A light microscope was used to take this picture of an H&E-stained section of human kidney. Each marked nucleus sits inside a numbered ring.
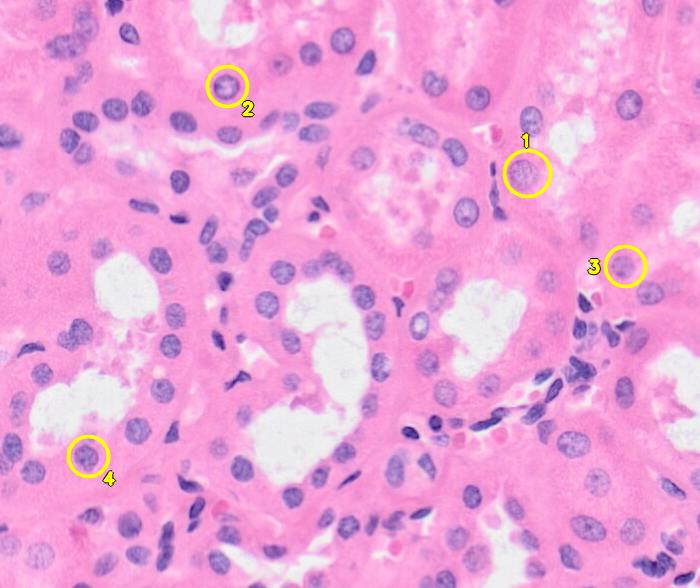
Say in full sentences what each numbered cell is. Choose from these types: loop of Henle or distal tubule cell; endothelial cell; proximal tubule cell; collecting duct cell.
Cells 1, 2 and 3 are proximal tubule cells. Cell 4 is a loop of Henle or distal tubule cell.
